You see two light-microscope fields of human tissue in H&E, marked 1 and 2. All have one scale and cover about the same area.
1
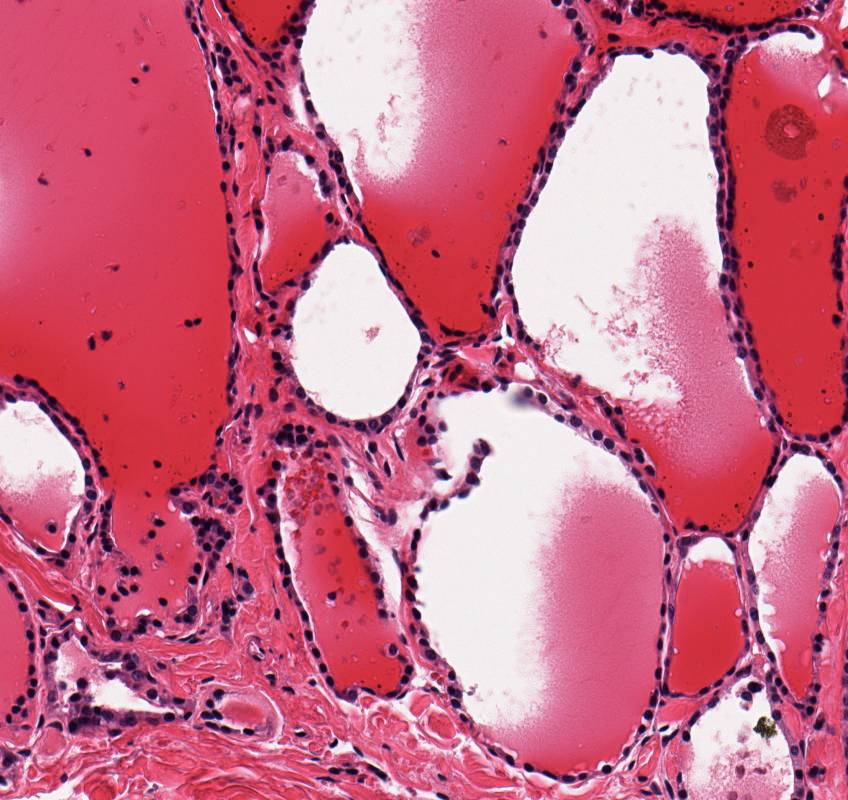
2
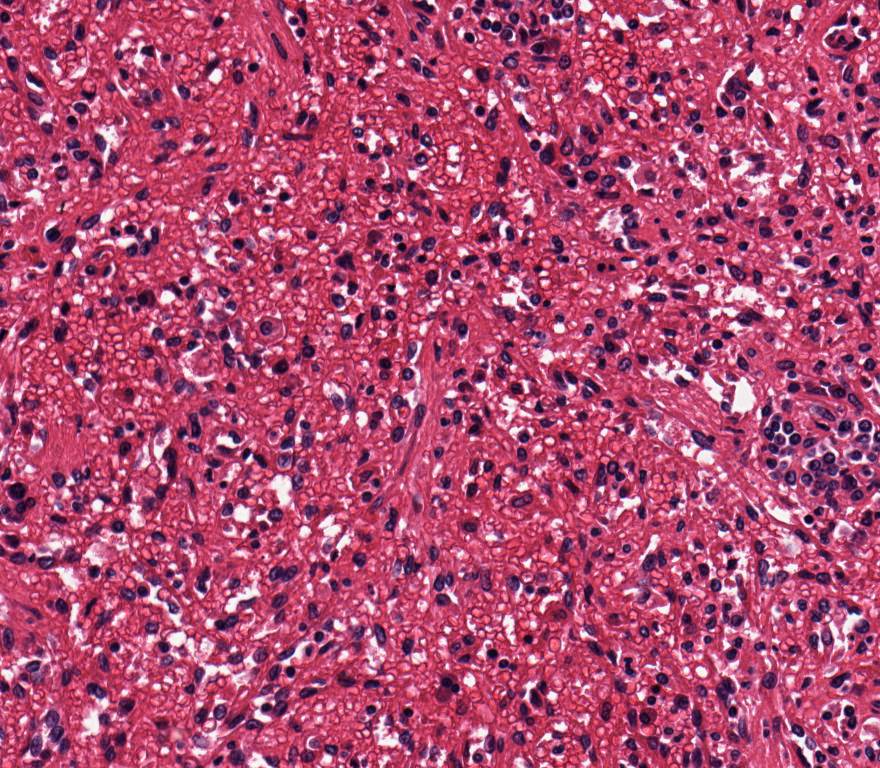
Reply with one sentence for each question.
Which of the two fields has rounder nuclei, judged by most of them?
Rounder nuclei lie in field 2.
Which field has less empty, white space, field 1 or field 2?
Less of field 2 is empty and white.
